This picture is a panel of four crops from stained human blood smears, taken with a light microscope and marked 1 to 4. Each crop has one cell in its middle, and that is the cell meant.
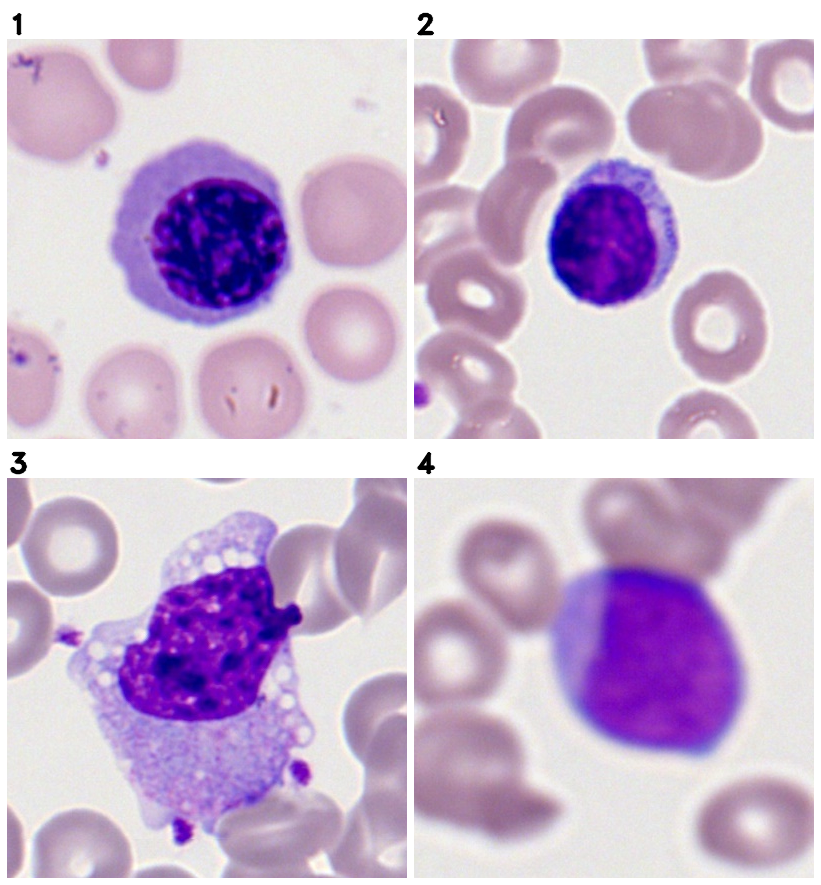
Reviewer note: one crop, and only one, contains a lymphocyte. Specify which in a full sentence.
Crop 2 is the one depicting a lymphocyte.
